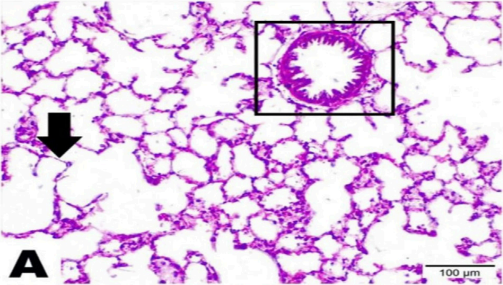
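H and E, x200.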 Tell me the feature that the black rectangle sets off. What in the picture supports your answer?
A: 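Bronchioles. A round airway with a folded lining epithelium sits inside the rectangle. A thin pink ring of wall surrounds the airway lumen. It is surrounded by thin-walled air spaces.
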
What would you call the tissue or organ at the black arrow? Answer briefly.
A: alveolar epithelium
